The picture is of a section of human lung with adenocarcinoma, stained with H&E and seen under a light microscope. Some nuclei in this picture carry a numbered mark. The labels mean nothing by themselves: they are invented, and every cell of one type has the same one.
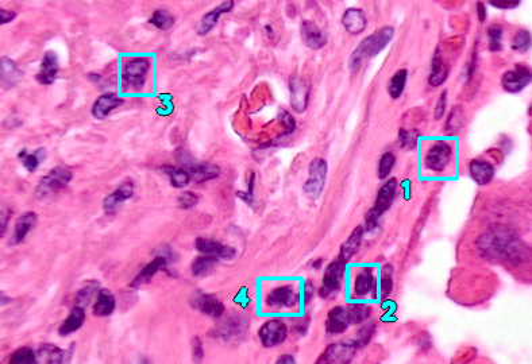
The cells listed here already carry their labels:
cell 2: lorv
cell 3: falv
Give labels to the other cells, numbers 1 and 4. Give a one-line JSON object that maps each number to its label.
{"1": "lorv", "4": "lorv"}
